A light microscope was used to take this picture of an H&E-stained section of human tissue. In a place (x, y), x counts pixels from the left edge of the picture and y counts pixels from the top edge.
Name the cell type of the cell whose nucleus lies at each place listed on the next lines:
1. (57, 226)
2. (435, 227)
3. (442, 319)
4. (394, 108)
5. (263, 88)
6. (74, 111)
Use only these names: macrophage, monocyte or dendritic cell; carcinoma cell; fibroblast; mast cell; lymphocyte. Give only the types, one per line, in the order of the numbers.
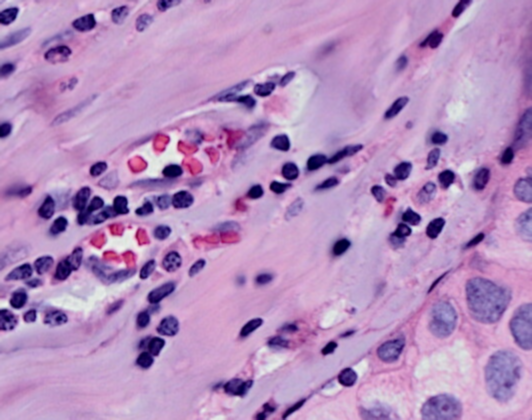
lymphocyte
lymphocyte
carcinoma cell
lymphocyte
lymphocyte
fibroblast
